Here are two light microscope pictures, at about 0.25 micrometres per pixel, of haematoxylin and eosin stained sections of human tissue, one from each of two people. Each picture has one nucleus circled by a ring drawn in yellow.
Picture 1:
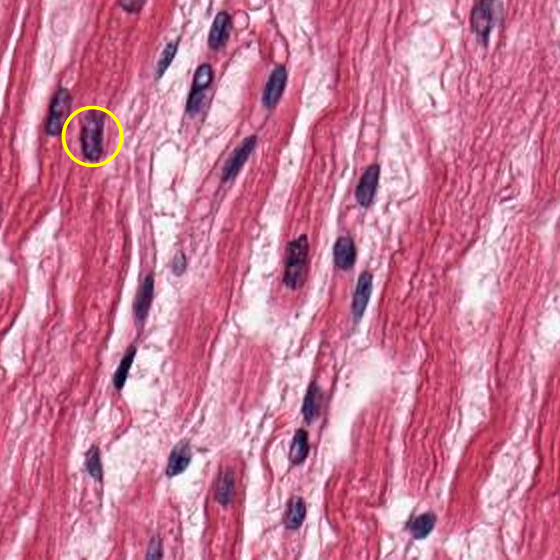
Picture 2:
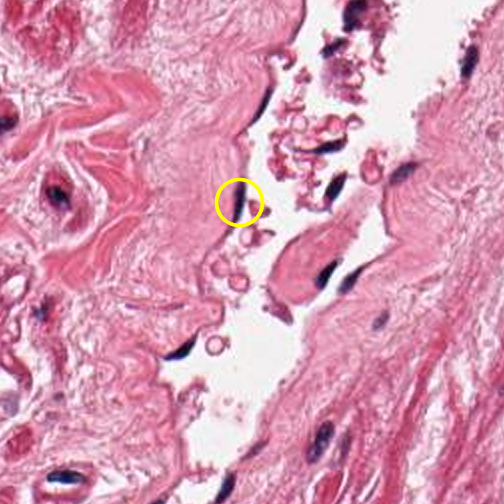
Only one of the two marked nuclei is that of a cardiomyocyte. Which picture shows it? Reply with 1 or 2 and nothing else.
1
